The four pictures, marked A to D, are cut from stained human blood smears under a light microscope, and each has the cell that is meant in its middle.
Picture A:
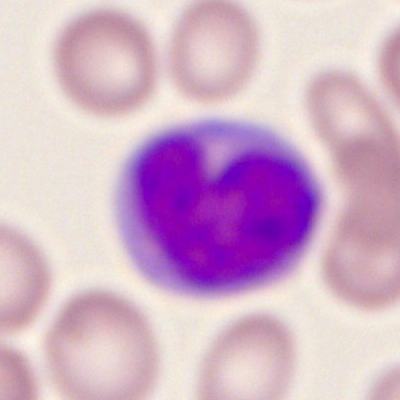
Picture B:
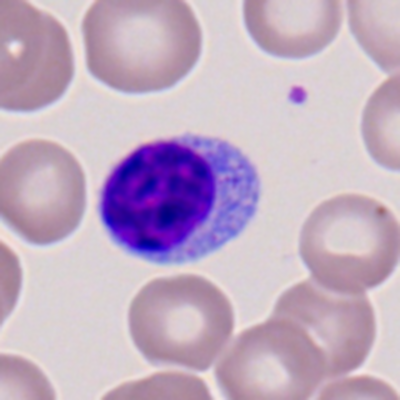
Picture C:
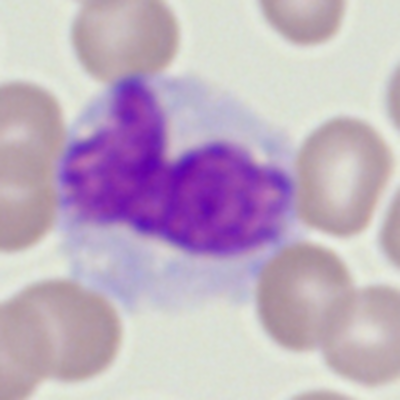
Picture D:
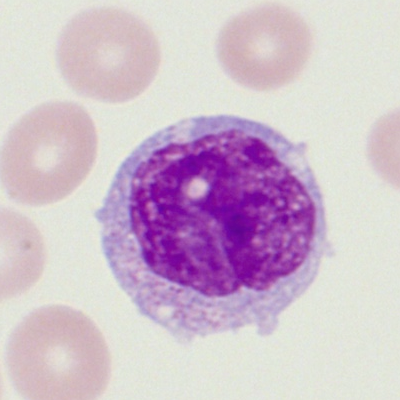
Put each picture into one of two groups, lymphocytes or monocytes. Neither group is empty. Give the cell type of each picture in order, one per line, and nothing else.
monocyte
lymphocyte
monocyte
monocyte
